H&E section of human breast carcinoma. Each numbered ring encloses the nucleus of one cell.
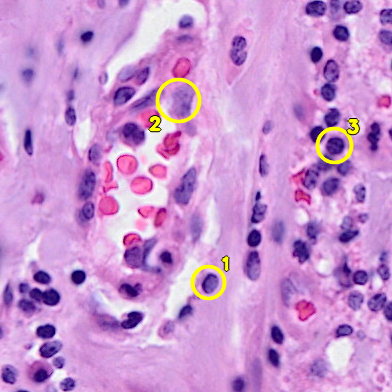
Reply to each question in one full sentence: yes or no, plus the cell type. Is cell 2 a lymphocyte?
No, an endothelial cell is what cell 2 is, not a lymphocyte.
